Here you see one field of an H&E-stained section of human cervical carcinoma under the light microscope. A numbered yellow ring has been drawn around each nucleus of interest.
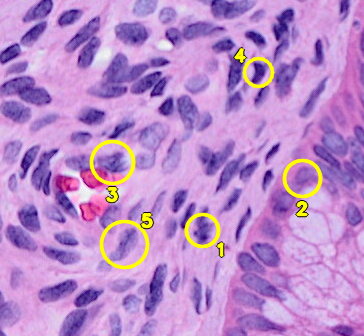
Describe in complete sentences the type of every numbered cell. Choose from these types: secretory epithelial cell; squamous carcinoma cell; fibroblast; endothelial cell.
Cell 1 is a fibroblast, cell 2 is a secretory epithelial cell, cell 3 is an endothelial cell, cell 4 is a fibroblast and cell 5 is a fibroblast.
